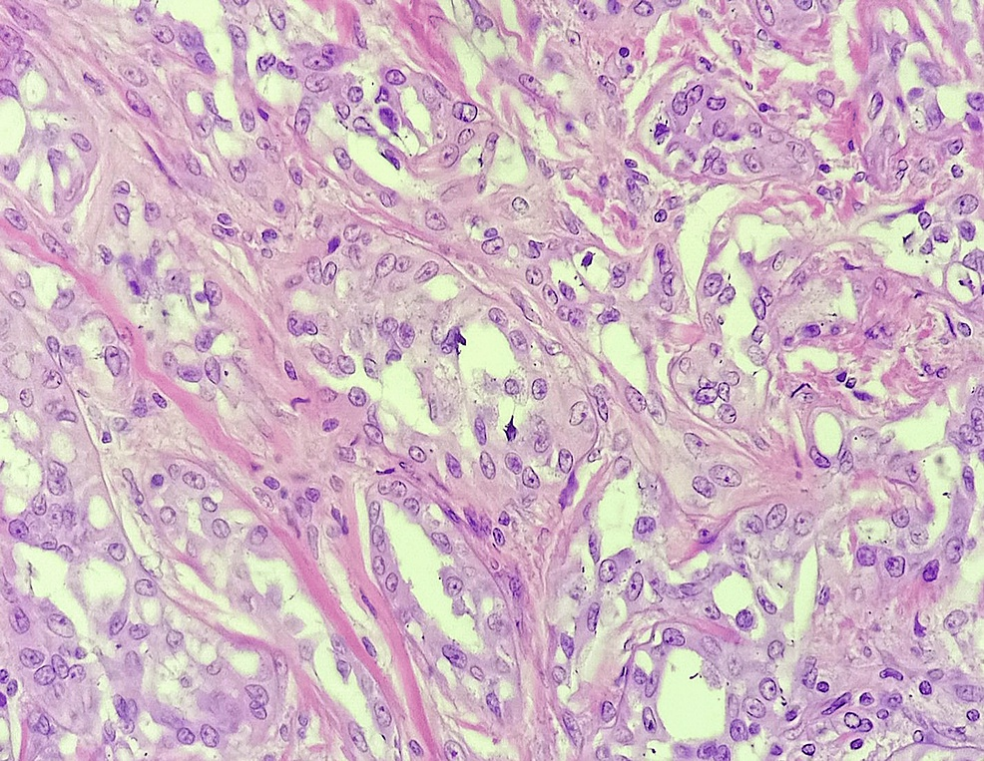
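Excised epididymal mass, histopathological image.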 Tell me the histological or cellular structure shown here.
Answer: Tubules and cord of tumour cells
